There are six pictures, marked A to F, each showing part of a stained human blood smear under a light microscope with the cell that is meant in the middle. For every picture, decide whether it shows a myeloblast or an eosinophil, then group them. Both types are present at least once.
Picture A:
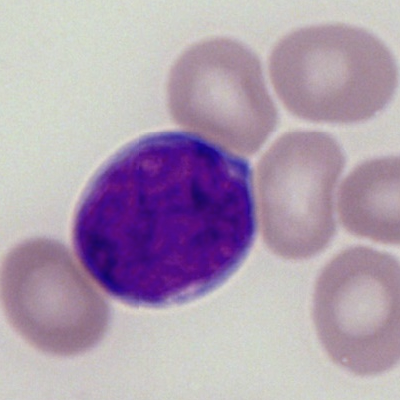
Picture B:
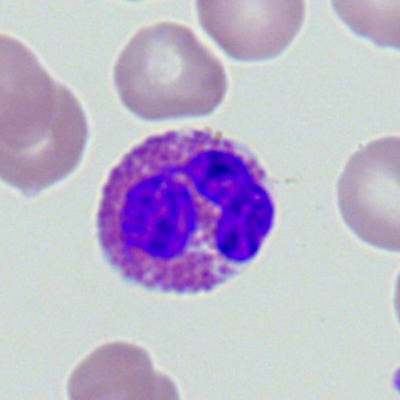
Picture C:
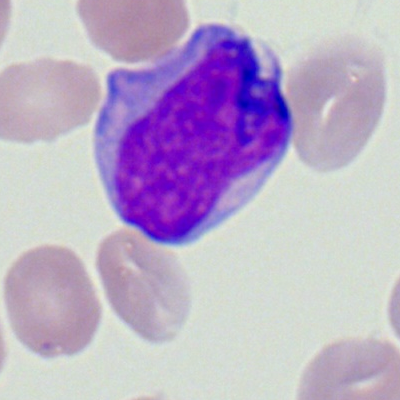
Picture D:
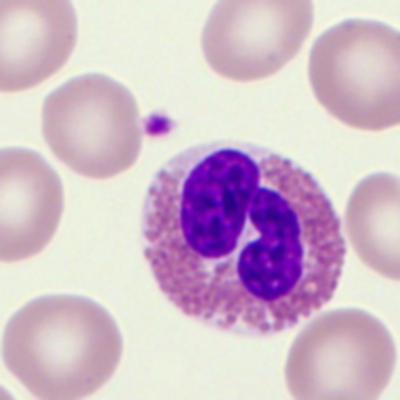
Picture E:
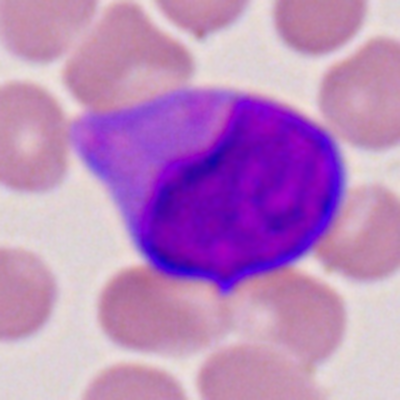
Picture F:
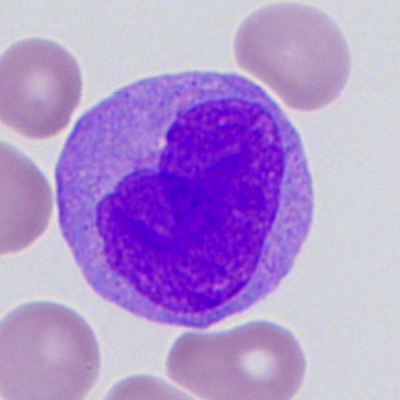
A: myeloblast
B: eosinophil
C: myeloblast
D: eosinophil
E: myeloblast
F: myeloblast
